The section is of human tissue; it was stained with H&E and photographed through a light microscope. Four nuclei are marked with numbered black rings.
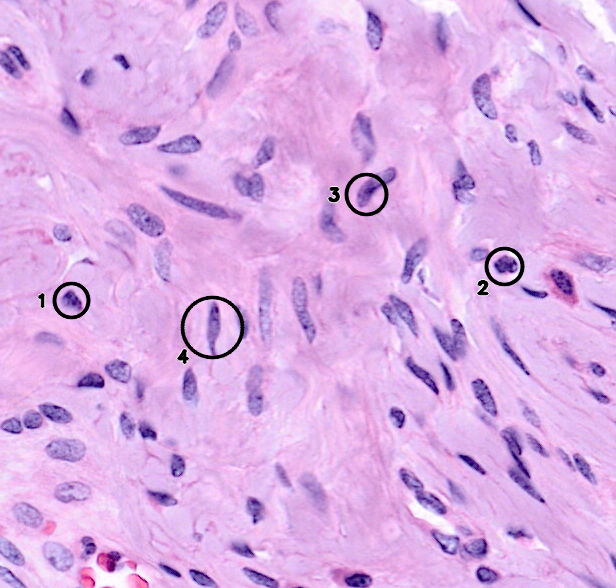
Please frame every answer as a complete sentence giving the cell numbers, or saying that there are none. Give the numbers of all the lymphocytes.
No marked cell except number 2 is a lymphocyte.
